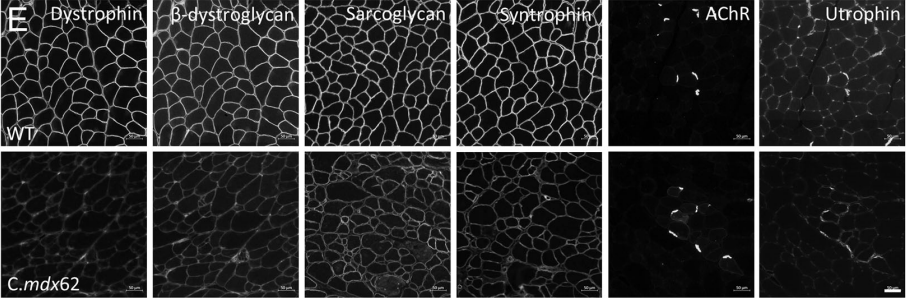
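These are cross-sections of skeletal muscle in which the individual muscle fibers appear as closely packed polygonal profiles. In the top row the fiber borders are traced by continuous, sharp bright rims along the sarcolemma, giving a regular honeycomb pattern, while the fiber interiors remain dark. In the bottom row the rims are fainter, patchier and less continuous, and the fibers look more variable in size and shape. In one column only a few small, bright, elongated spots lie at fiber edges rather than outlining every fiber. In the last column the outlines are weak but visible in both rows, with some brighter spots between fibers.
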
